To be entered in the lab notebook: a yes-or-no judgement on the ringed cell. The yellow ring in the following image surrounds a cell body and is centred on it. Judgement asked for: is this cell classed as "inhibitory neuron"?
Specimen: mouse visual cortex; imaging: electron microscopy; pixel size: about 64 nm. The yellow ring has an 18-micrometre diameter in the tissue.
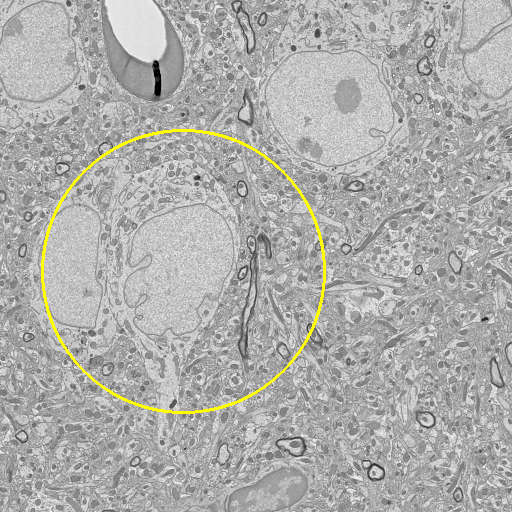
Yes, it is classed that way.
